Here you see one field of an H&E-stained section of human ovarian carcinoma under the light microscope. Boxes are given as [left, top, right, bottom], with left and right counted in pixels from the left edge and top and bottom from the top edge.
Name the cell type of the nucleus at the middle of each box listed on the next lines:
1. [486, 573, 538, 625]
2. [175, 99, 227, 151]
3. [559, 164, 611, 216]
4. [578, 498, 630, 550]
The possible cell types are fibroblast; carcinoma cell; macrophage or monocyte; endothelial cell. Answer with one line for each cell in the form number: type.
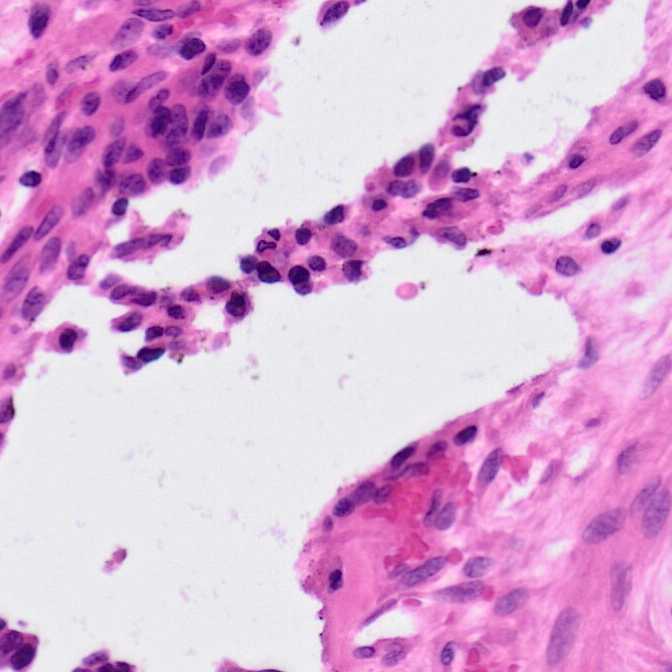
1: fibroblast
2: carcinoma cell
3: fibroblast
4: fibroblast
